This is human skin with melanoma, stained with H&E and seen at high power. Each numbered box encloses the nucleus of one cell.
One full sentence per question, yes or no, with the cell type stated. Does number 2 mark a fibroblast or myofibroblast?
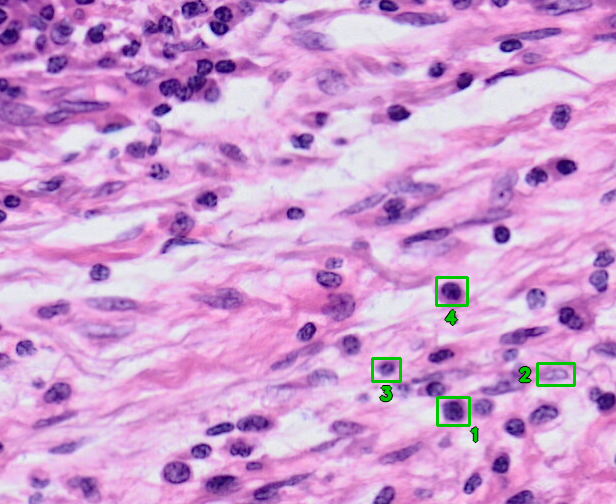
Yes, the numbered cell 2 is a fibroblast or myofibroblast.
